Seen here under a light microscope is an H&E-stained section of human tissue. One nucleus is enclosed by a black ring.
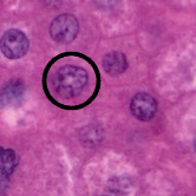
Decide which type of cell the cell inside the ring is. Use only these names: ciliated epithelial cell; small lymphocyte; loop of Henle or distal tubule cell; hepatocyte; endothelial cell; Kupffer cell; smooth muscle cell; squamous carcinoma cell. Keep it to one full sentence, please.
Recorded by type, the cell inside the ring is a hepatocyte.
